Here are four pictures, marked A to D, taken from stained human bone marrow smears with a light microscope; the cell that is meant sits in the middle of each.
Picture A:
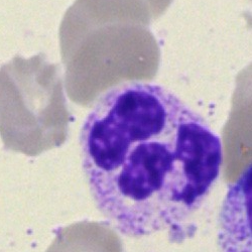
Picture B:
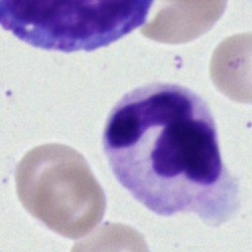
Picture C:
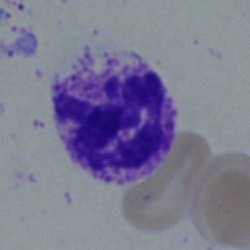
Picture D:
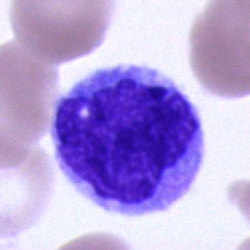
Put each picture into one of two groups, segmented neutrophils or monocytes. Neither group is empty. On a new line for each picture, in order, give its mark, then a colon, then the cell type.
A: segmented neutrophil
B: segmented neutrophil
C: segmented neutrophil
D: monocyte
